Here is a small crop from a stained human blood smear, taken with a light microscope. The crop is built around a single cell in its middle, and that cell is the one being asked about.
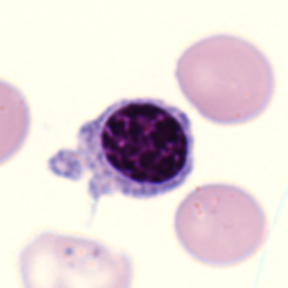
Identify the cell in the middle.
normoblast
